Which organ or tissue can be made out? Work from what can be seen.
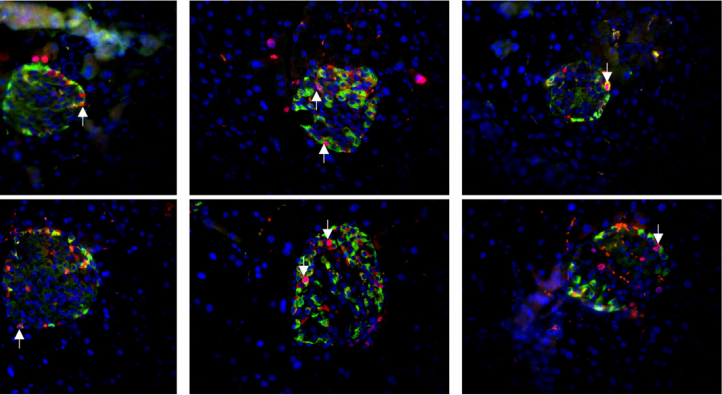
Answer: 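Round, compact clusters of cells set within surrounding tissue. On this evidence: islets.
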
